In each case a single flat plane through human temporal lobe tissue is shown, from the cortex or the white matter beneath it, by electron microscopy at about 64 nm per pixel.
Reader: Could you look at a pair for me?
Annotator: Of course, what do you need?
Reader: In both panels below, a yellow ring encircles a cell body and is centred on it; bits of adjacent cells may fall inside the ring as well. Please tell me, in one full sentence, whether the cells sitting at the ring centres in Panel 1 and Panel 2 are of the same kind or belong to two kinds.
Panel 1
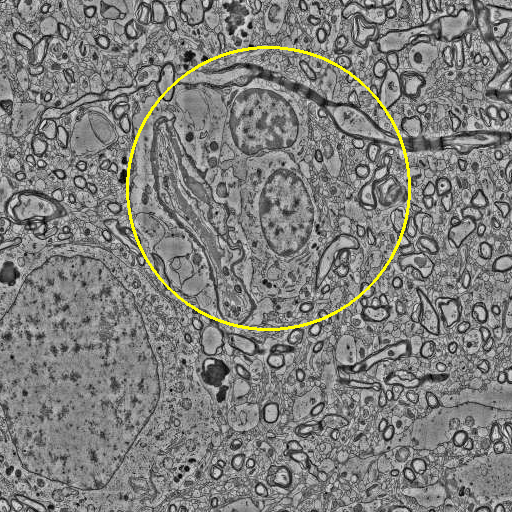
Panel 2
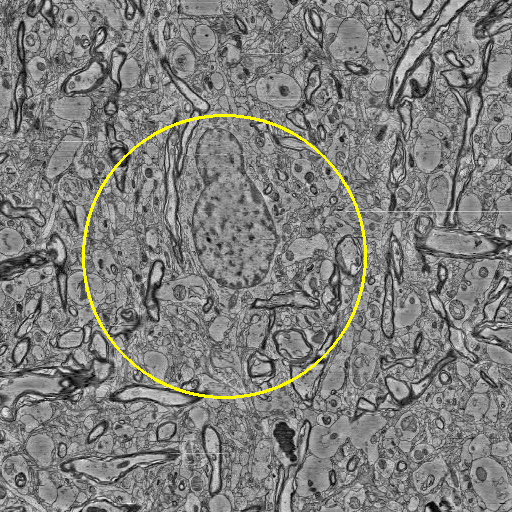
The cell at the ring's centre in Panel 1 and the one in Panel 2 are of the same kind.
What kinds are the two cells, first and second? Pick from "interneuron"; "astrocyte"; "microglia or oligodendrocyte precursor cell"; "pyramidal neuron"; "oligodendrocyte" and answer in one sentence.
Both cells are the same kind, each one being a microglial cell or oligodendrocyte precursor cell.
